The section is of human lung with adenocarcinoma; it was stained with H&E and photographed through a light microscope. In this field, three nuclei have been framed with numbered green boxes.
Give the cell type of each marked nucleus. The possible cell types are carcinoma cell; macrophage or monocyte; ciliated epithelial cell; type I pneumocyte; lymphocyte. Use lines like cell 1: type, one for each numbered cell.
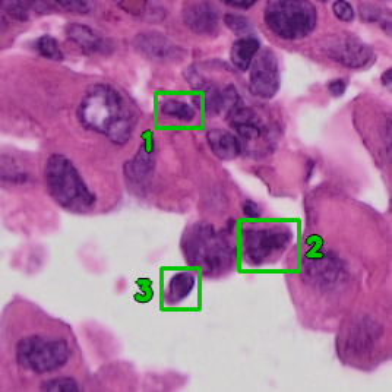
cell 1: lymphocyte
cell 2: carcinoma cell
cell 3: lymphocyte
